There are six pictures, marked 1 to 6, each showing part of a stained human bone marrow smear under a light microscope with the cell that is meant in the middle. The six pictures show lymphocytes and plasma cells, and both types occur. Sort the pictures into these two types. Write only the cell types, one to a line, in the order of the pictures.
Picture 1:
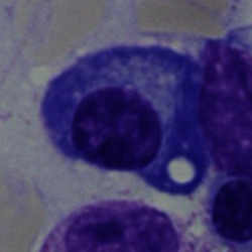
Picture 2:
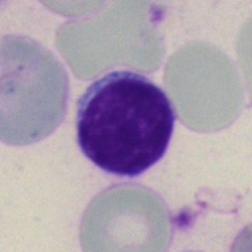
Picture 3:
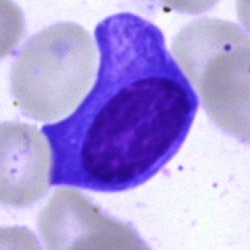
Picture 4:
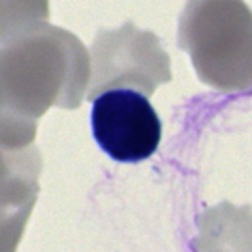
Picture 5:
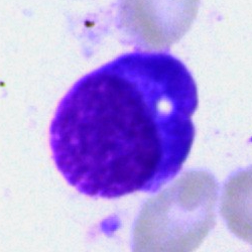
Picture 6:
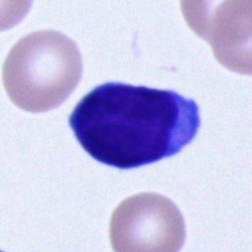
plasma cell
lymphocyte
plasma cell
lymphocyte
plasma cell
lymphocyte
